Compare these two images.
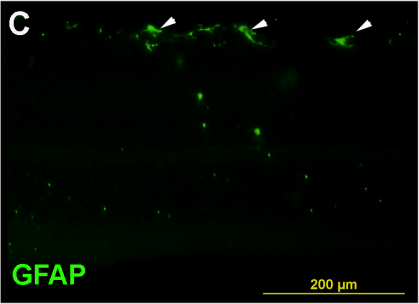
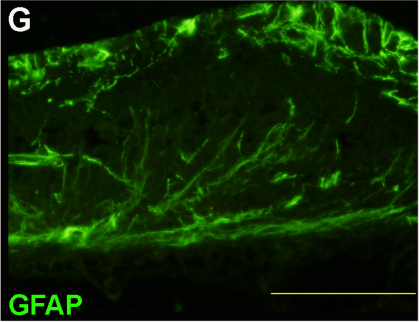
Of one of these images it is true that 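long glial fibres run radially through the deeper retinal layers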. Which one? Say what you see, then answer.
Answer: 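Second image: many long green fibres cross the thickness of the retina below the surface.
Conclusion: the second image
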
